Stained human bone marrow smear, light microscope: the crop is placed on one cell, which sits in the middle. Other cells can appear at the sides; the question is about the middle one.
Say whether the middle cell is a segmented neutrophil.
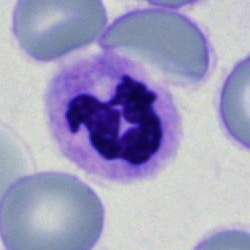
yes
